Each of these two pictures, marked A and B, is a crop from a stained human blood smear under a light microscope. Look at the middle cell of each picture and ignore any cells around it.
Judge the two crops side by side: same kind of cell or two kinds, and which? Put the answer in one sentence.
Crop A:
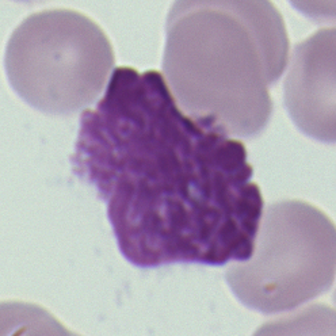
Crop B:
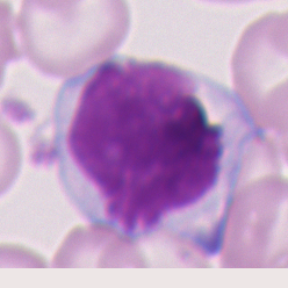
No, it is in crop A that a smudge cell is shown, and in crop B that a typical lymphocyte is shown.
